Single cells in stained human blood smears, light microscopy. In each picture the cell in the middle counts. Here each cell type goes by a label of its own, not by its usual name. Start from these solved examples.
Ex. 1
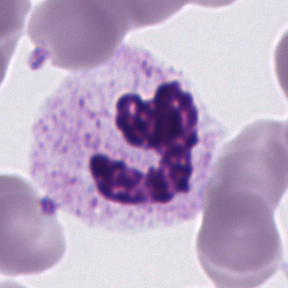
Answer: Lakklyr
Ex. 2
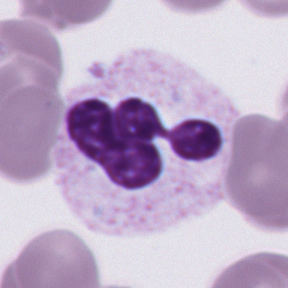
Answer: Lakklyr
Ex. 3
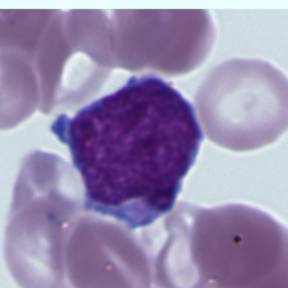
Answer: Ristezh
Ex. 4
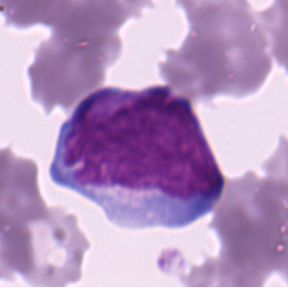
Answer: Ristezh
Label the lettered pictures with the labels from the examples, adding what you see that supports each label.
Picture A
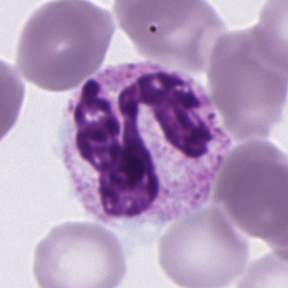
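Lakklyr: The cytoplasm is abundant and pale pink-lilac.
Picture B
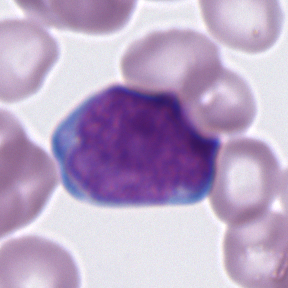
Ristezh: The cytoplasm forms a thin rim that is widest on the left side.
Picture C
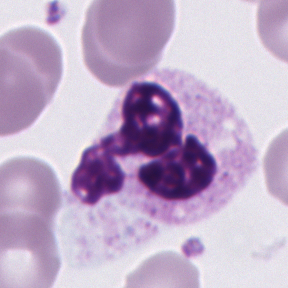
Lakklyr: The cytoplasm is plentiful and pale pinkish-lilac.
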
